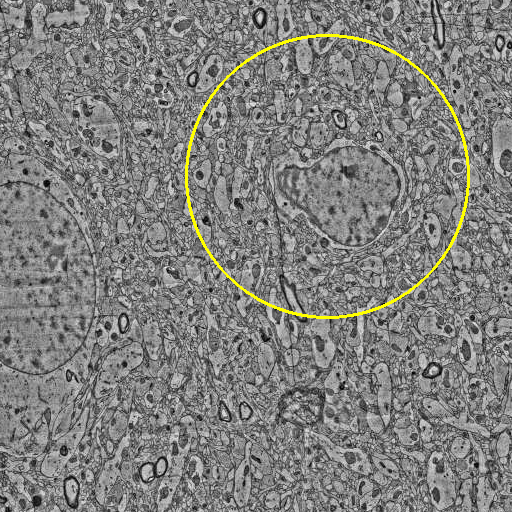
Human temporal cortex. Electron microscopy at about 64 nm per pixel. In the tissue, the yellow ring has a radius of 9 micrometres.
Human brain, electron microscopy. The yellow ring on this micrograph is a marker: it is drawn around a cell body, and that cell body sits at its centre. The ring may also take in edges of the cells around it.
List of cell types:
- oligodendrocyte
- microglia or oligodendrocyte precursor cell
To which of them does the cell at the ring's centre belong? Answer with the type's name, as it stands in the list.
microglia or oligodendrocyte precursor cell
